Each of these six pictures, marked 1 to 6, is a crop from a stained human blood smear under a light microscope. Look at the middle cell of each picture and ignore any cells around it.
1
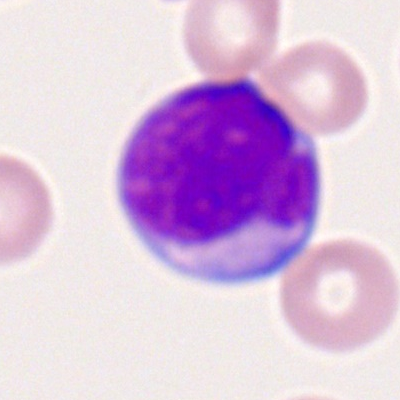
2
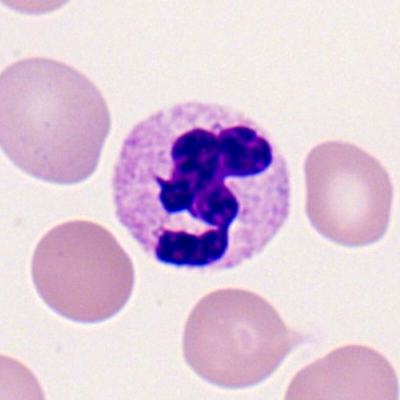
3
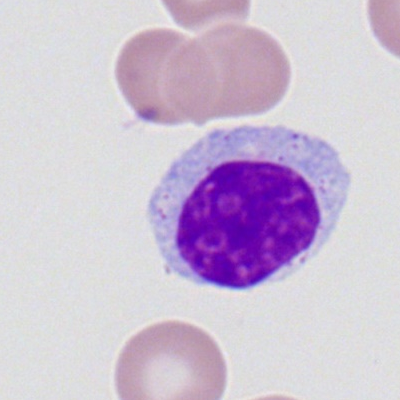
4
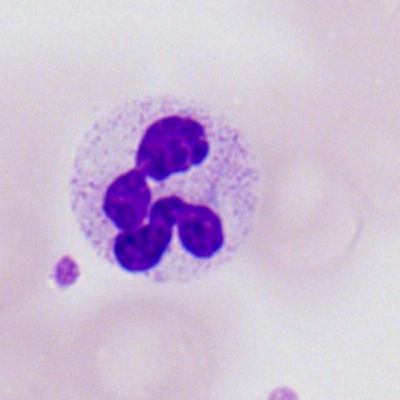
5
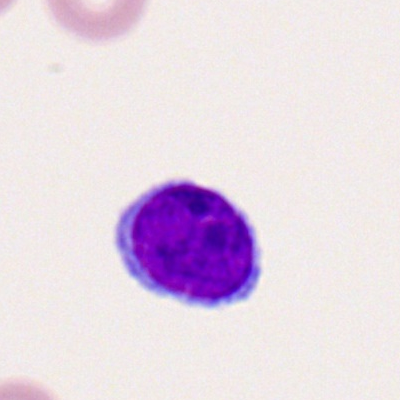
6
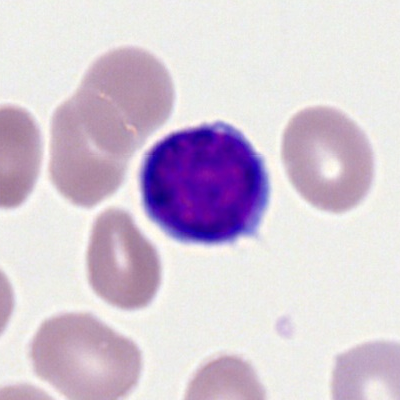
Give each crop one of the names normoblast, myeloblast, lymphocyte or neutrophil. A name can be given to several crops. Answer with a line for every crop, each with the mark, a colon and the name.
1: myeloblast
2: neutrophil
3: lymphocyte
4: neutrophil
5: lymphocyte
6: lymphocyte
